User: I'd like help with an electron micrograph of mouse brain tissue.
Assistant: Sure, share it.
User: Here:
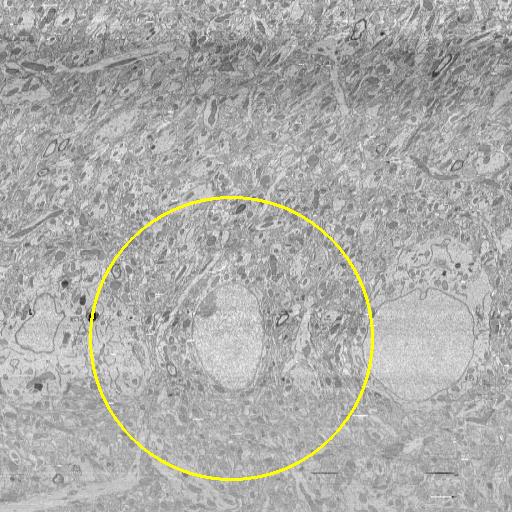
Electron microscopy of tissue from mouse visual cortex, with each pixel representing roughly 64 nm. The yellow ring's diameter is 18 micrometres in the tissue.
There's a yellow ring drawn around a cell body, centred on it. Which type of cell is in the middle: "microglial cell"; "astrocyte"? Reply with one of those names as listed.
astrocyte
